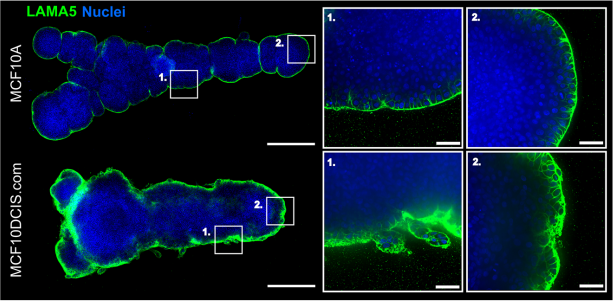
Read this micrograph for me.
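These are elongated, branched multicellular epithelial structures with rounded, bud-like lobes, filled with densely packed nuclei shown in blue. A thin green layer outlines the outer surface of each structure, lying directly against the outermost cells. In the upper structure this green line is smooth, continuous and sharp around every lobe. In the lower structure the outline is more irregular and the green layer is thicker and frayed, with strands and patches extending outward; in one magnified view a small group of cells protrudes beyond the main edge, wrapped in green material, while elsewhere the green forms a ragged, streaky border rather than a clean line.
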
